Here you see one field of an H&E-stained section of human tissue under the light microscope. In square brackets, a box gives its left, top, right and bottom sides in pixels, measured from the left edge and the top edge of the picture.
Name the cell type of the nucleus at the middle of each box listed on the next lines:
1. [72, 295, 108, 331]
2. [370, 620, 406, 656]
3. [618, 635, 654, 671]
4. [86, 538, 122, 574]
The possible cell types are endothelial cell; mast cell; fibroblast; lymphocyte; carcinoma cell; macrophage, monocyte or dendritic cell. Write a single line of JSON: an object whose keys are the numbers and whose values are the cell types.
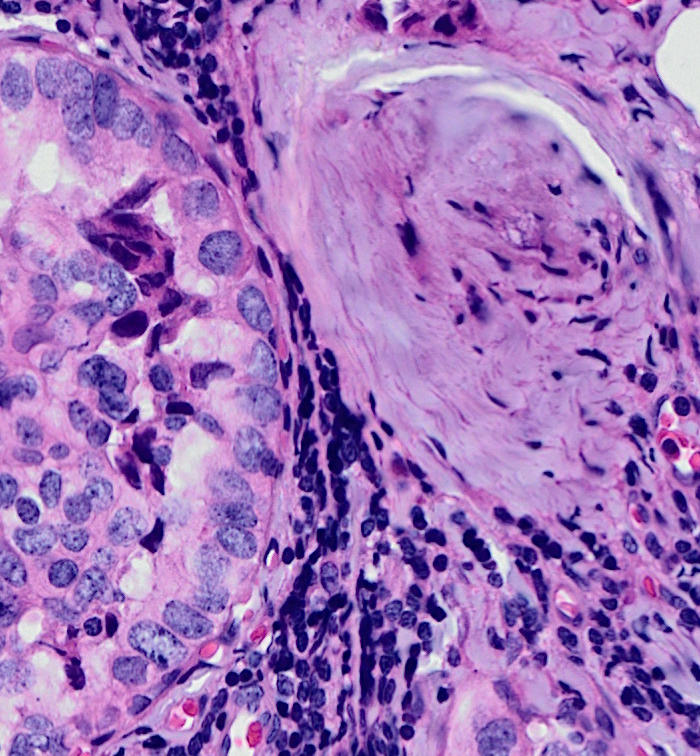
{"1": "carcinoma cell", "2": "lymphocyte", "3": "lymphocyte", "4": "carcinoma cell"}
